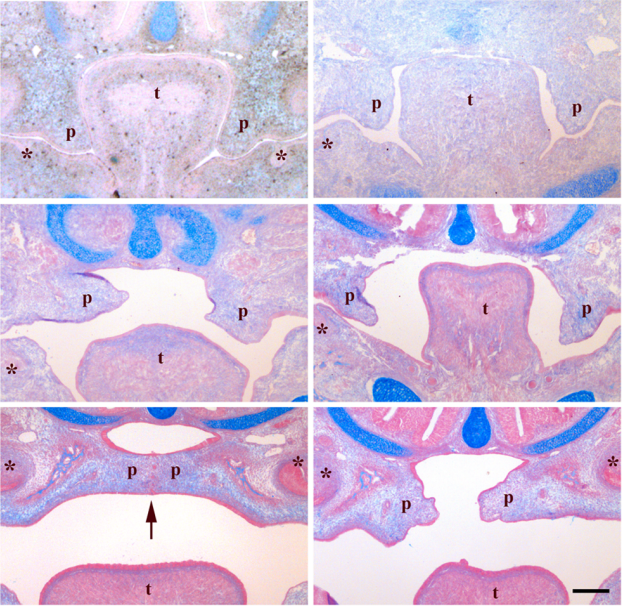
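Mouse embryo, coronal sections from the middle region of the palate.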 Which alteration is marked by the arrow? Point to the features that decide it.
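Fuse along their medial edges. The arrow points up at the midline where the two labelled shelves meet. At the arrow the two shelves lie horizontally and touch at the midline, above the tongue.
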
